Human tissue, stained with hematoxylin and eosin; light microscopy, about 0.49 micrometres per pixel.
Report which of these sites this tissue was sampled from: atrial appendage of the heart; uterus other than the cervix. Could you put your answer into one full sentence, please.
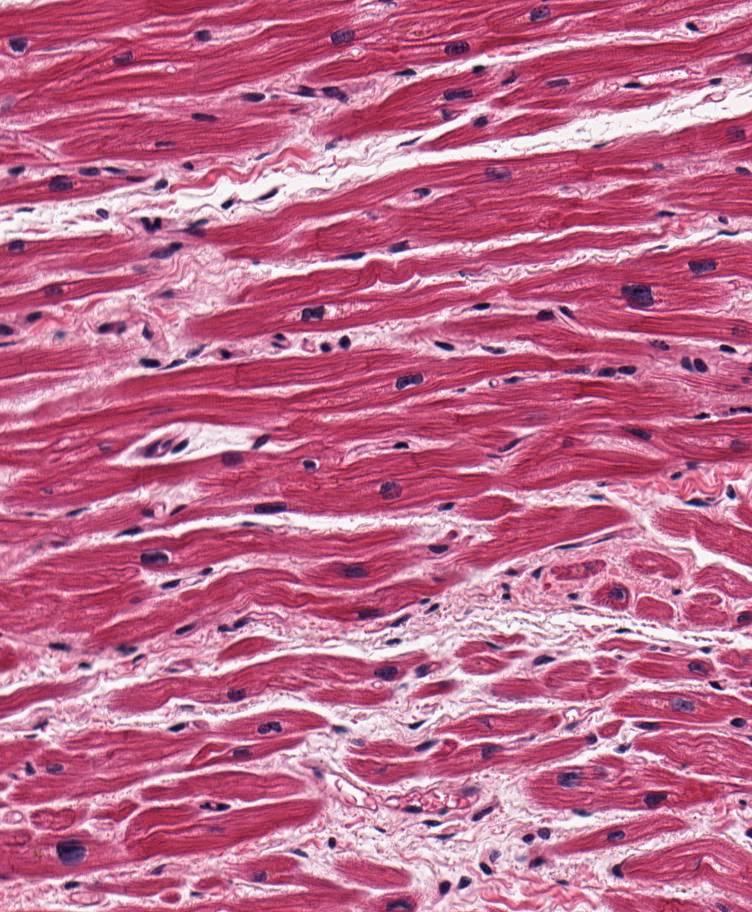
What this section contains is tissue from the atrial appendage of the heart.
